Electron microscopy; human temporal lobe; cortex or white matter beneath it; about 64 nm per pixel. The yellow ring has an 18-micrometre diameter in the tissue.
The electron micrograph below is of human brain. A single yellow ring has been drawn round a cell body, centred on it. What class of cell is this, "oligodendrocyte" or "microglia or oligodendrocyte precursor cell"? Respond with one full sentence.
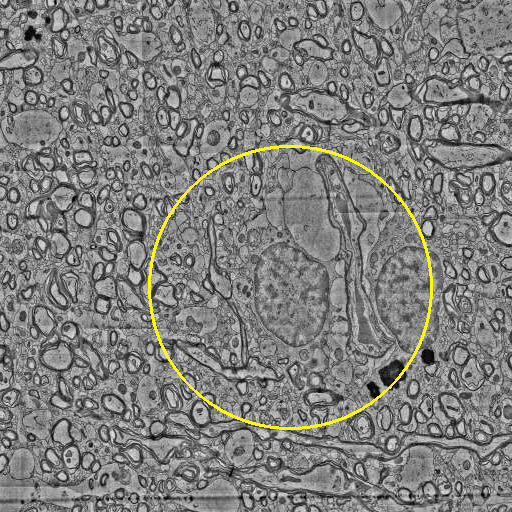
In the micrograph, the cell centred inside the yellow ring is an oligodendrocyte.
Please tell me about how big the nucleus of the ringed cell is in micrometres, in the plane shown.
The nucleus measures about 7 by 5 micrometres in this plane.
